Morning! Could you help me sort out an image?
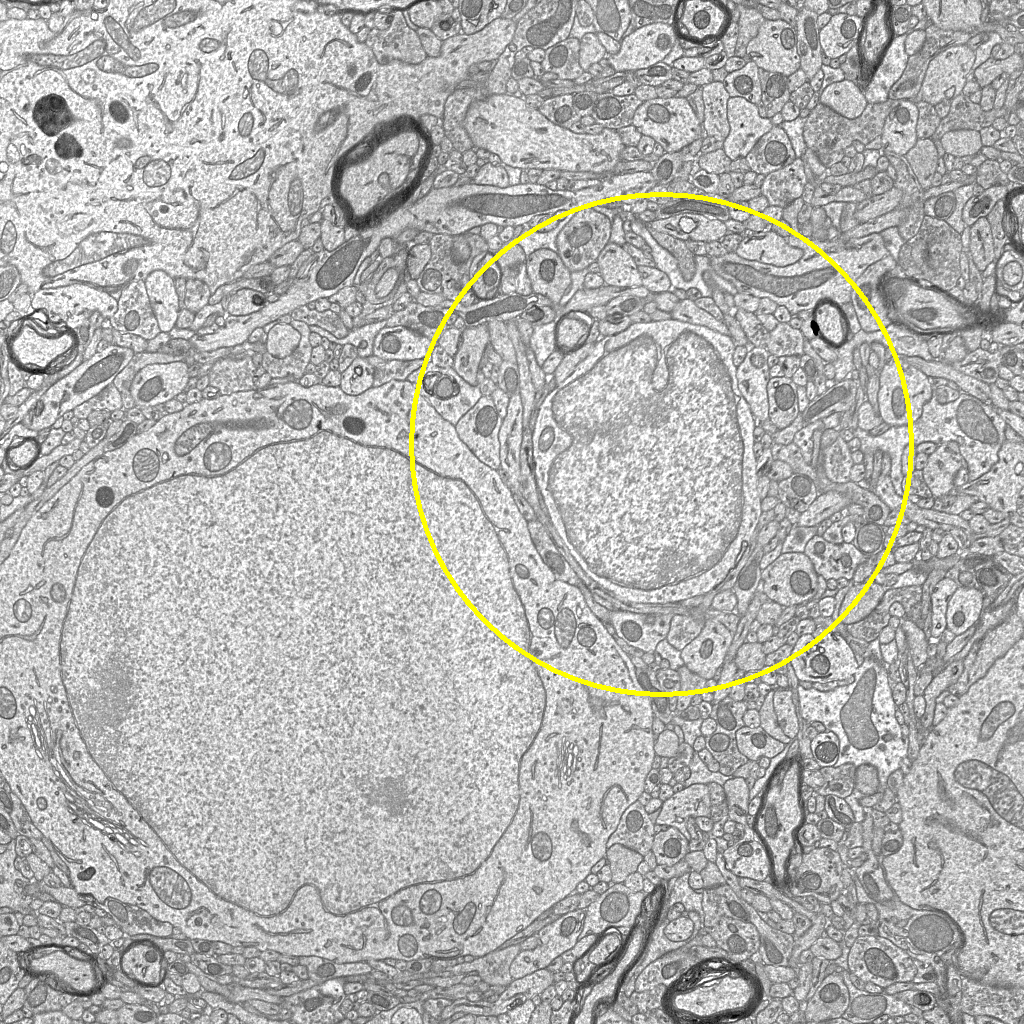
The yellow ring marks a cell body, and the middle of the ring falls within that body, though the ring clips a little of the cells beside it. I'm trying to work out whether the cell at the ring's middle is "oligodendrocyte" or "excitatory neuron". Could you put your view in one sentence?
The cell body at the ring's middle is that of an oligodendrocyte.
